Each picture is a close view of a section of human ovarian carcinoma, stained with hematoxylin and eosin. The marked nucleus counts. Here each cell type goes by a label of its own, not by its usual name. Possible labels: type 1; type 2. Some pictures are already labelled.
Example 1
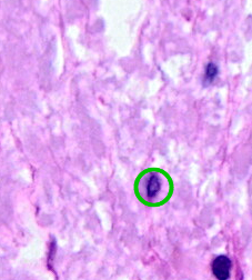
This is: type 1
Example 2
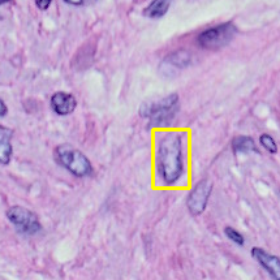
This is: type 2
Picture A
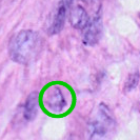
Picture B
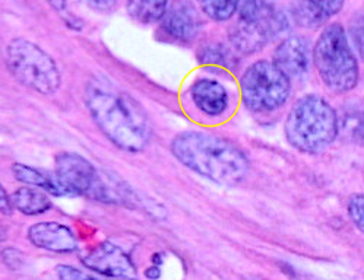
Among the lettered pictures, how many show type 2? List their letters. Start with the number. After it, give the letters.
Count: 1 (A)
